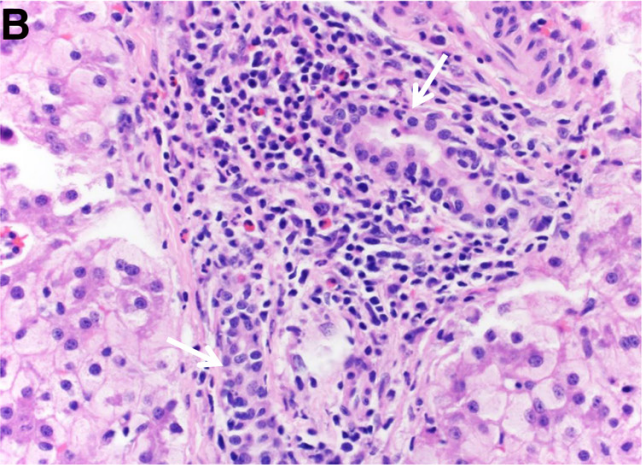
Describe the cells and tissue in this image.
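This is liver tissue with a portal area crowded by inflammatory cells, flanked by plates of large hepatocytes. The hepatocytes have round central nuclei with nucleoli and abundant pale pink, somewhat clear cytoplasm. The portal area is filled with a dense mixed infiltrate of small cells with dark round nuclei, among which scattered cells with bright pink-red cytoplasm stand out as eosinophils. Within the infiltrate lie small bile ducts lined by cuboidal epithelial cells around narrow lumens, with inflammatory cells pressed against and among the duct epithelium.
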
